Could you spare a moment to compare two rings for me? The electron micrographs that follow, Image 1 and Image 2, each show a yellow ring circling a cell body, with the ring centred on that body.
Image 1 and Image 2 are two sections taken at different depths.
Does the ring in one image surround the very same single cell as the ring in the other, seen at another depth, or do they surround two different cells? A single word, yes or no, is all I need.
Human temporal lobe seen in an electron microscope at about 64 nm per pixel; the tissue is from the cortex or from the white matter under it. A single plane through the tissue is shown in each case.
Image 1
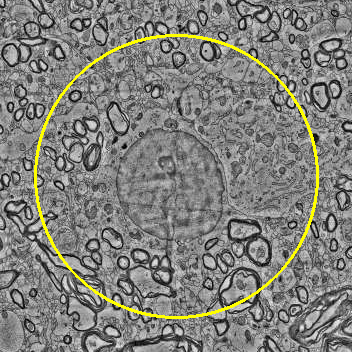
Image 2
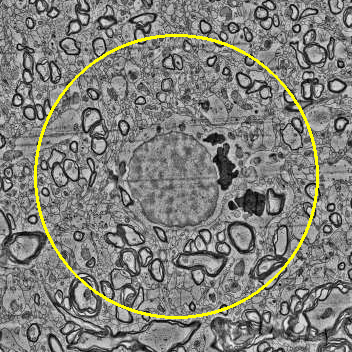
yes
